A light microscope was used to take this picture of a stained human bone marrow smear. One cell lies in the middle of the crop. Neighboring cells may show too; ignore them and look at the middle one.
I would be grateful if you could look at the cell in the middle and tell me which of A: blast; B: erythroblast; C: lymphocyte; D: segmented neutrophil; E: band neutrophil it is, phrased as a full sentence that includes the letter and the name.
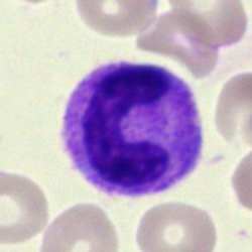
The central cell of the crop is a band neutrophil, which makes E the correct option.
